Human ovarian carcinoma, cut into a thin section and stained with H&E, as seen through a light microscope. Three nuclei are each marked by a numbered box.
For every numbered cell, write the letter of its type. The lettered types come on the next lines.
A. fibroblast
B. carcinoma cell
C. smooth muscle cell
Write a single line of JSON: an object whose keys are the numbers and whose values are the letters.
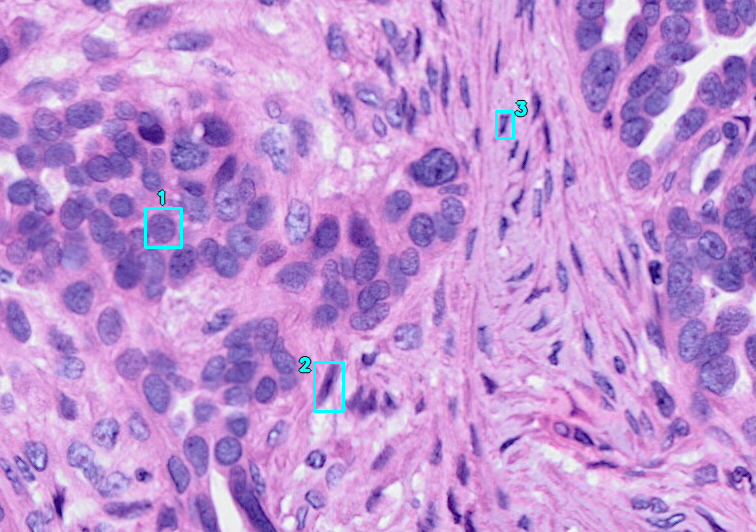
{"1": "B", "2": "A", "3": "A"}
